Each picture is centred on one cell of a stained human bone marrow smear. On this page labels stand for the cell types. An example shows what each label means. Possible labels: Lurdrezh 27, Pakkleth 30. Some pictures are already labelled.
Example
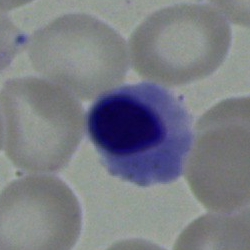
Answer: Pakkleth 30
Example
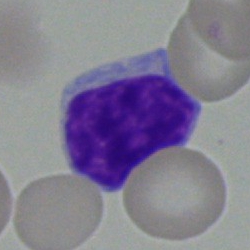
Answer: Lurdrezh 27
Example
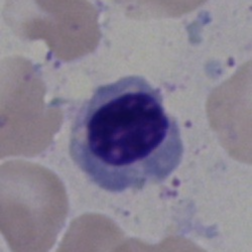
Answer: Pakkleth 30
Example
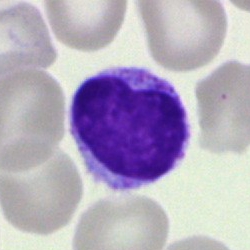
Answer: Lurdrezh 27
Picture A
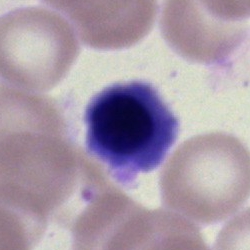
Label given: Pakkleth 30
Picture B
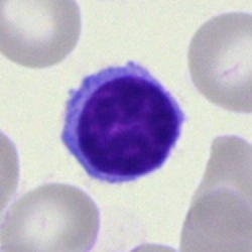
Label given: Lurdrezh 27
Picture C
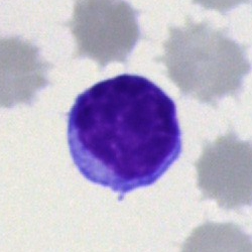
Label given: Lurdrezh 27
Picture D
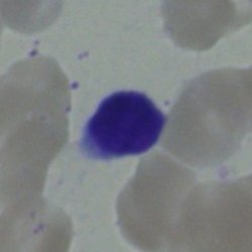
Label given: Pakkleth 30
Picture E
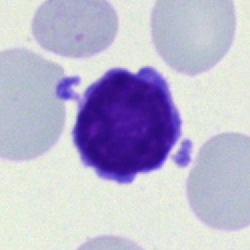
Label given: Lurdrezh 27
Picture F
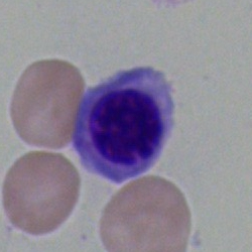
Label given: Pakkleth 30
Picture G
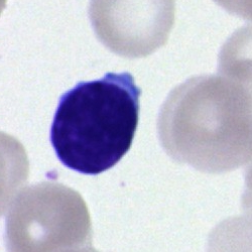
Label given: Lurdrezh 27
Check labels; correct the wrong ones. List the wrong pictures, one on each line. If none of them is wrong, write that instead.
D: change Pakkleth 30 to Lurdrezh 27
